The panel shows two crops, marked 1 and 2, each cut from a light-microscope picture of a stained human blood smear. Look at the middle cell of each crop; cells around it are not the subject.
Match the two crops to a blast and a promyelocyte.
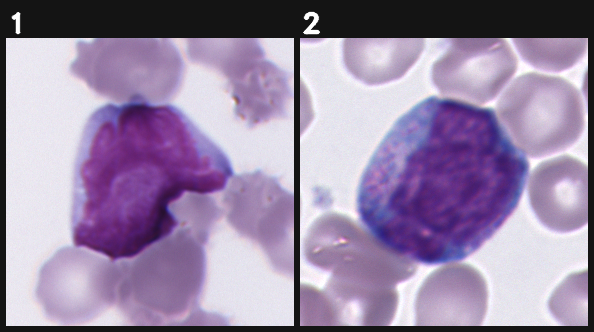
1: blast
2: promyelocyte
